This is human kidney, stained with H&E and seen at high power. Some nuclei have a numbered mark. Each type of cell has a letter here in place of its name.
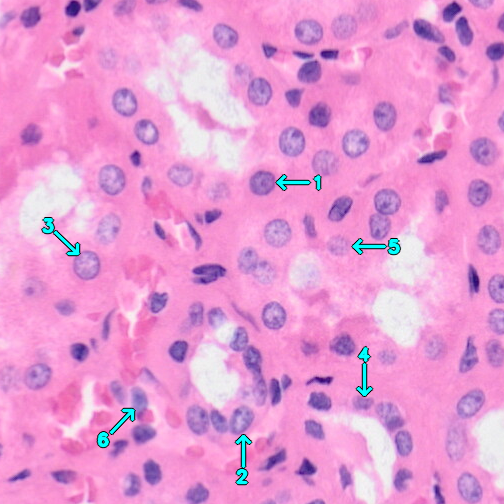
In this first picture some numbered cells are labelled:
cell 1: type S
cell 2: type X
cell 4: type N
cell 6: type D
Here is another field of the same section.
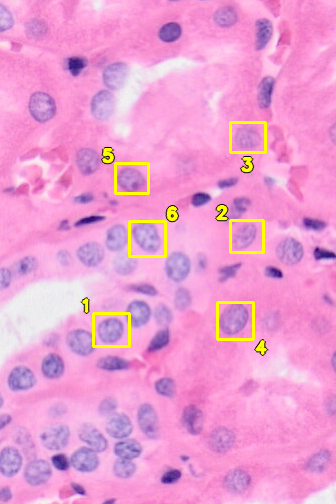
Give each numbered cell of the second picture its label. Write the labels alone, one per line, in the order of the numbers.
type X
type N
type S
type S
type S
type X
